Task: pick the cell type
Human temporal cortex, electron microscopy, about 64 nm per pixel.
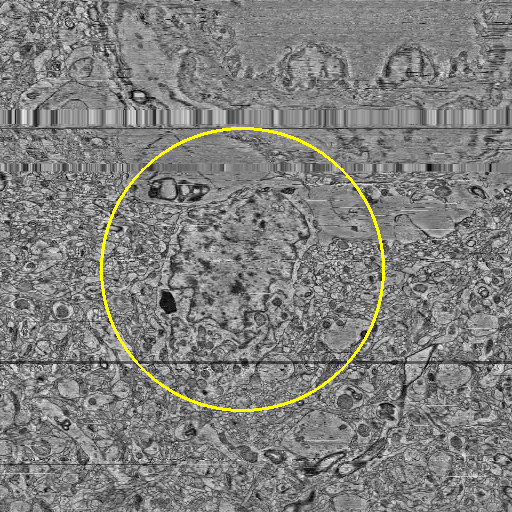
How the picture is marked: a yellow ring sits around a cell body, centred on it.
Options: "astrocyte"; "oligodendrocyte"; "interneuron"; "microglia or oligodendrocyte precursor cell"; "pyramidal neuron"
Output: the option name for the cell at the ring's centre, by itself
interneuron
